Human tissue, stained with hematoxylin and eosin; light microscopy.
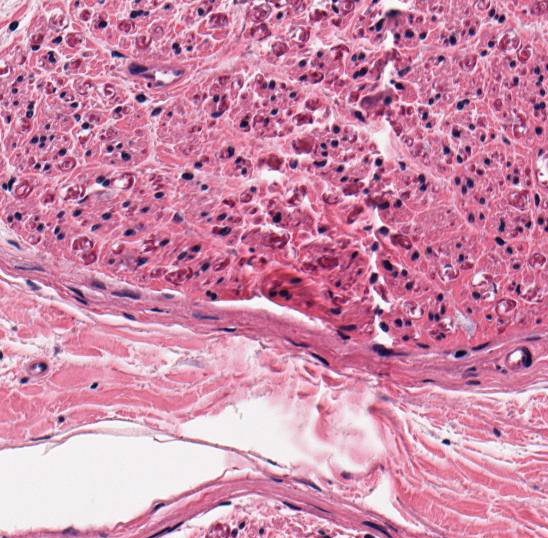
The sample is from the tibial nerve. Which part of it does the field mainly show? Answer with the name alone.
nerve fascicle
